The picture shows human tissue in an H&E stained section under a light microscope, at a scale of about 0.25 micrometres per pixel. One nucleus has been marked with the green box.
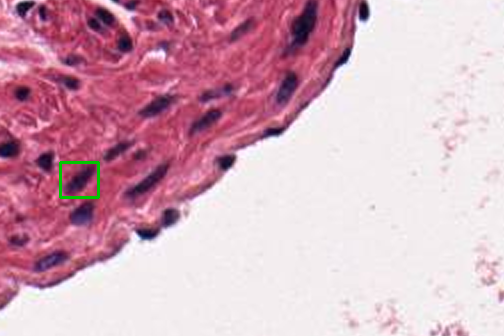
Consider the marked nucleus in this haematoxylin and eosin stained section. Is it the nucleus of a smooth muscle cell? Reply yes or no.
yes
